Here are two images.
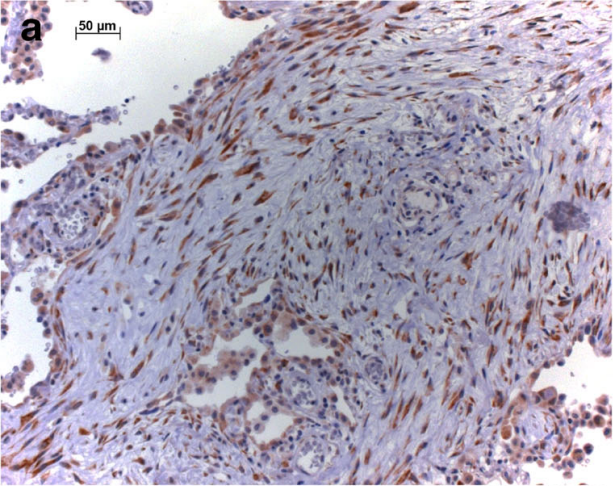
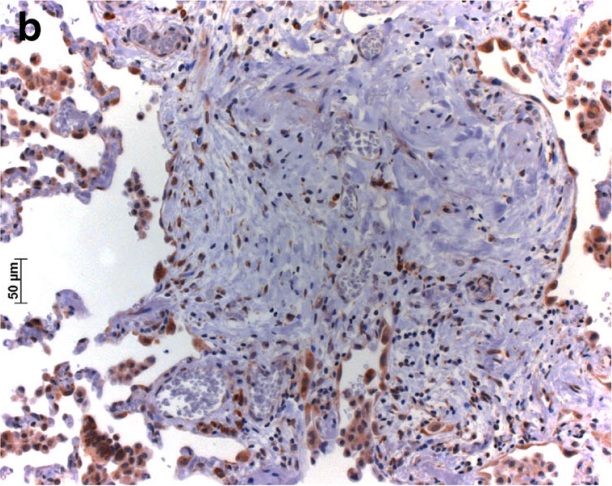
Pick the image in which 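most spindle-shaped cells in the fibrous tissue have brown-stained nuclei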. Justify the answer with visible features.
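Second image: most spindle cells in the fibrous area have blue nuclei, with only a few brown ones. First image: many spindle cells in the fibrous area have brown nuclei.
Conclusion: the first image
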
